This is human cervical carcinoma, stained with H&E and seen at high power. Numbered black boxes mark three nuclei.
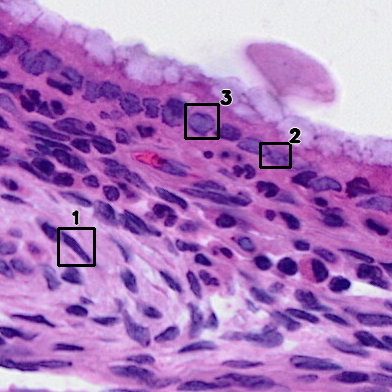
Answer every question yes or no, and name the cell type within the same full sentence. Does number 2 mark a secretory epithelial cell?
Yes, on this slide, the cell with number 2 is a secretory epithelial cell.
